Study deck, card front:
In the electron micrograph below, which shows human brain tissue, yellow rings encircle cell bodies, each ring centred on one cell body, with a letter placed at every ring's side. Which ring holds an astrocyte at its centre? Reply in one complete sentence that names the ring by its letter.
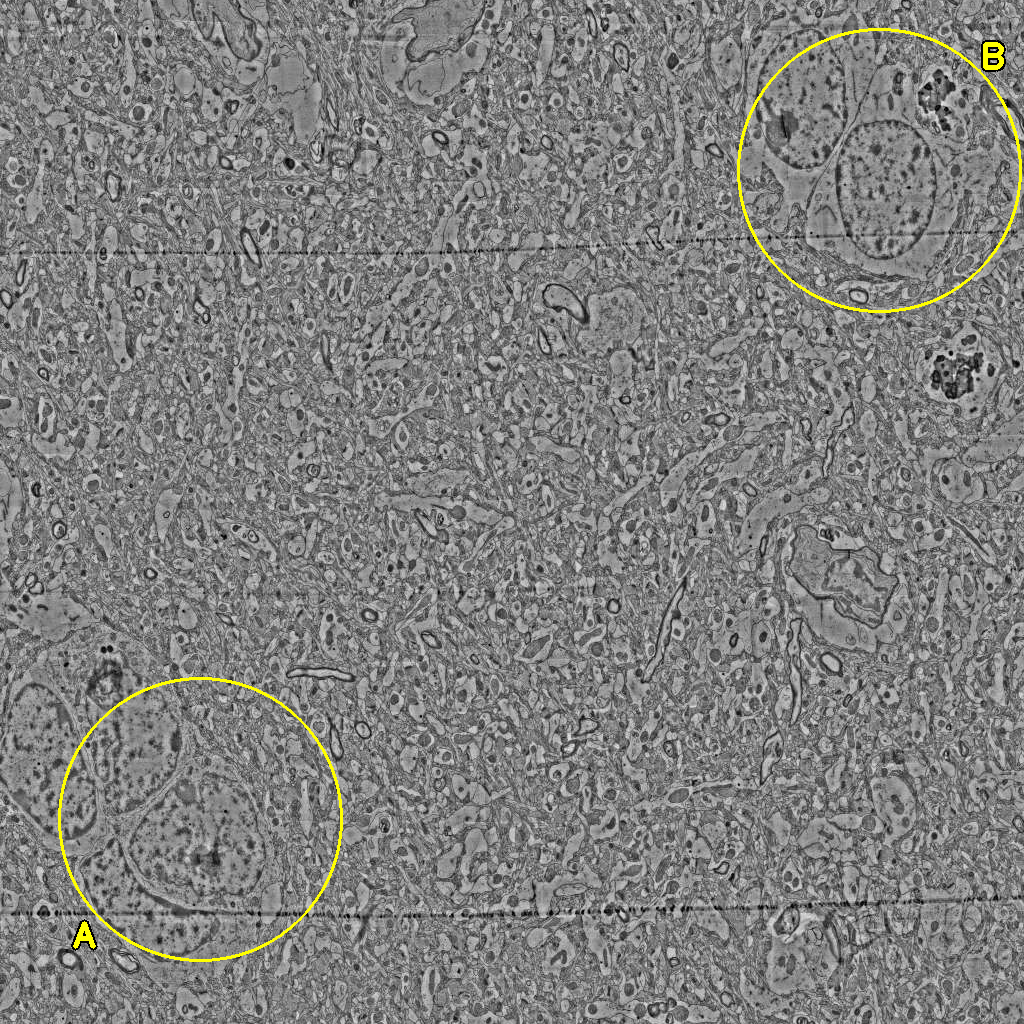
The cell asked for sits at the centre of ring B in the picture.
